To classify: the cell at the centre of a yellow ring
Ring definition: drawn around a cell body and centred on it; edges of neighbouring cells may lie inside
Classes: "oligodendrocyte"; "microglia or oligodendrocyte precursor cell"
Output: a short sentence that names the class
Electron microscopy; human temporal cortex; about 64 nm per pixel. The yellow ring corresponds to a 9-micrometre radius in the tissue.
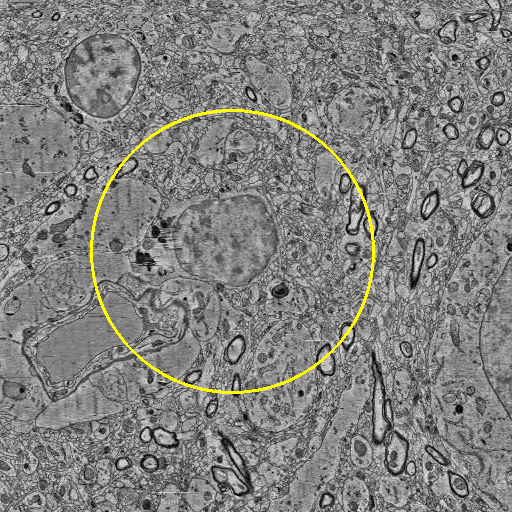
The ringed cell is an oligodendrocyte.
